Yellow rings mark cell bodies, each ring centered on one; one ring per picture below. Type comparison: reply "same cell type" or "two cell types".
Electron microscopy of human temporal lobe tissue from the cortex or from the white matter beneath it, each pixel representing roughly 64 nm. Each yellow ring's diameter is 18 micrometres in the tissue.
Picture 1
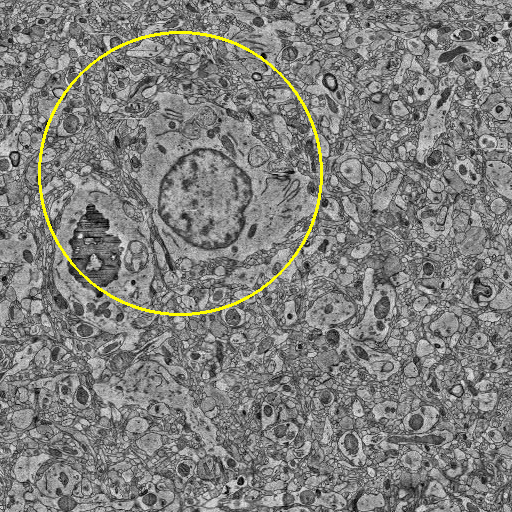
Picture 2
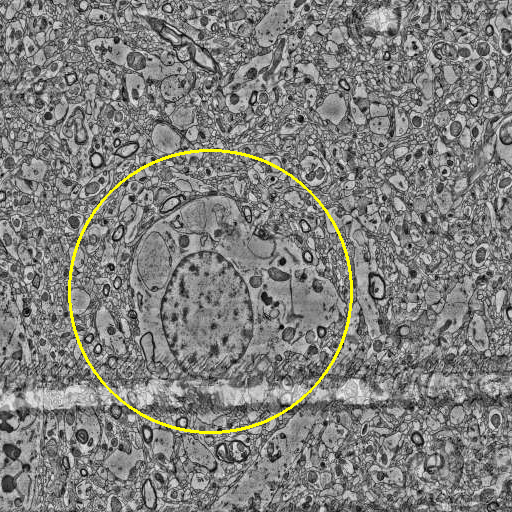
same cell type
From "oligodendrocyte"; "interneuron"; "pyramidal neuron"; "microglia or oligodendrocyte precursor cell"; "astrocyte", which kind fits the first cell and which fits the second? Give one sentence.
Each cell, in the first picture and the second, is an astrocyte.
